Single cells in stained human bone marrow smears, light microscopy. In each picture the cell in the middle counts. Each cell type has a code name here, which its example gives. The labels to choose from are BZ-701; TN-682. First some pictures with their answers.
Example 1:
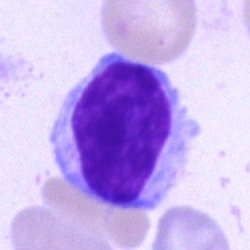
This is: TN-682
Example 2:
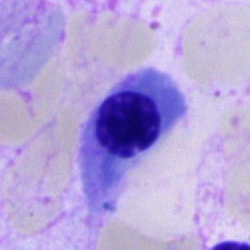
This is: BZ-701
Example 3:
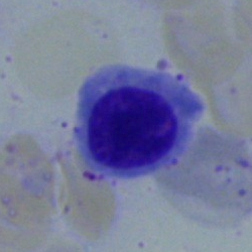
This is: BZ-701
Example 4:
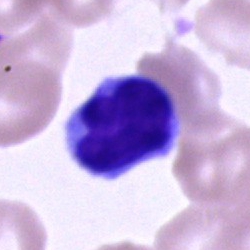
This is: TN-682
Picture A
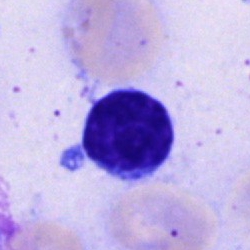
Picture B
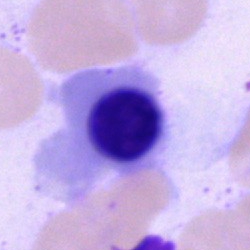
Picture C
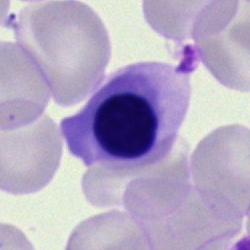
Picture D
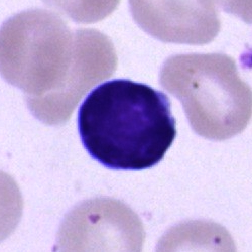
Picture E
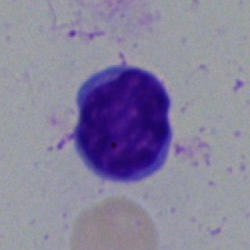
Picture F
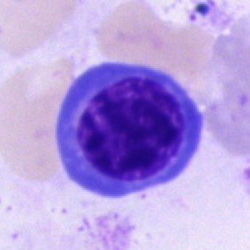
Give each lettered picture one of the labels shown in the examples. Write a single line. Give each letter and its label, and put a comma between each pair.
A TN-682, B BZ-701, C BZ-701, D TN-682, E TN-682, F BZ-701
